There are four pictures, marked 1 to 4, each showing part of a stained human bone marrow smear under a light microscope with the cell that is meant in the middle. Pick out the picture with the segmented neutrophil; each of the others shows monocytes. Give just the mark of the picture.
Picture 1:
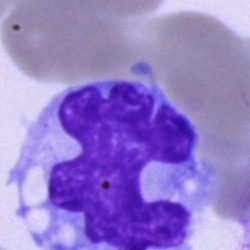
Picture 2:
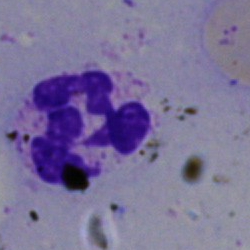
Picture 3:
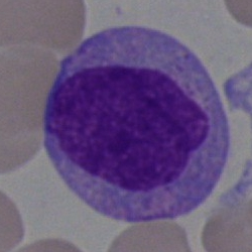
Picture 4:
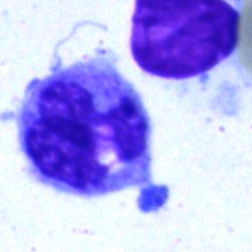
2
